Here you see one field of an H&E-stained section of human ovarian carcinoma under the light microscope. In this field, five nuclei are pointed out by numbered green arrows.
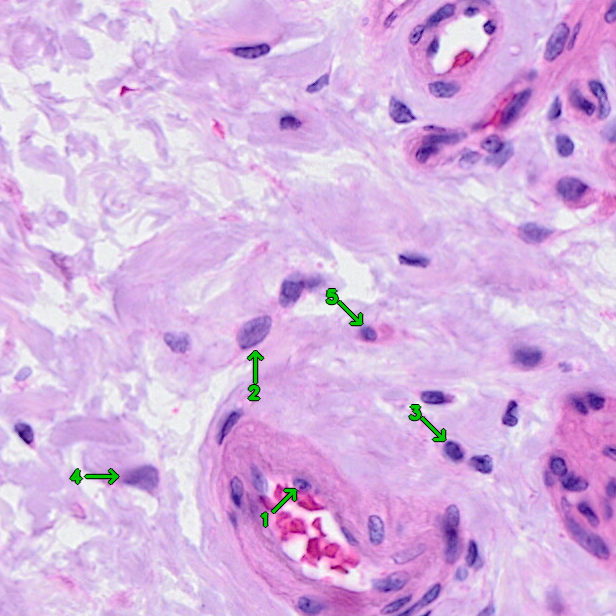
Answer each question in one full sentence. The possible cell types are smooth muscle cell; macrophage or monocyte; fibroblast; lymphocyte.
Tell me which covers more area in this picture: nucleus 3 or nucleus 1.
At about 2 times the area of nucleus 1, nucleus 3 is the larger of the two.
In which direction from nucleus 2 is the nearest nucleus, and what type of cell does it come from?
Lying above and to the right of nucleus 2, the nearest nucleus is that of a fibroblast.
